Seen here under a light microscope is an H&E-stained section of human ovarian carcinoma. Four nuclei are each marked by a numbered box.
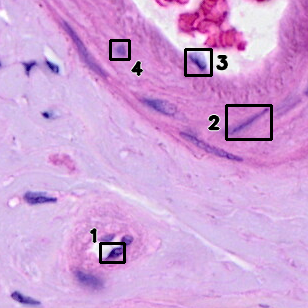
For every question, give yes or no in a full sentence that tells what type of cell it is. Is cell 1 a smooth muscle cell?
No, cell 1, which is an endothelial cell, is not a smooth muscle cell.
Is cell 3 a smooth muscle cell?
No, as for cell 3, it is an endothelial cell and not a smooth muscle cell.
